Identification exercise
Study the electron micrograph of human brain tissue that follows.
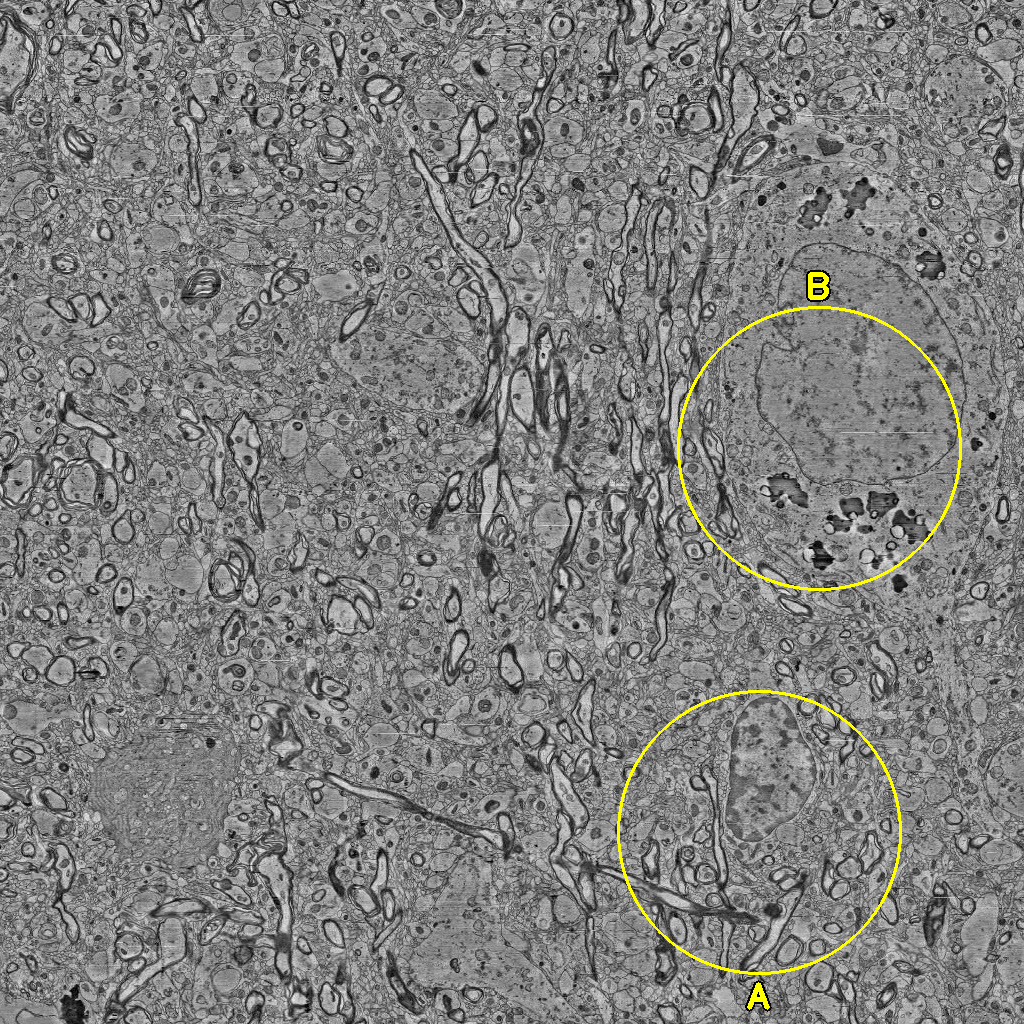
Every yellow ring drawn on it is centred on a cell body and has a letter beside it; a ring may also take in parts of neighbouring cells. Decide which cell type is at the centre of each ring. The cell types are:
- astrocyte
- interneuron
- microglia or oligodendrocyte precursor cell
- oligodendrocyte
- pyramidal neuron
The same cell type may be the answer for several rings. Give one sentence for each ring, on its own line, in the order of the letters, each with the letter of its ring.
Ring A encircles a microglial cell or oligodendrocyte precursor cell.
Ring B encircles a pyramidal neuron.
